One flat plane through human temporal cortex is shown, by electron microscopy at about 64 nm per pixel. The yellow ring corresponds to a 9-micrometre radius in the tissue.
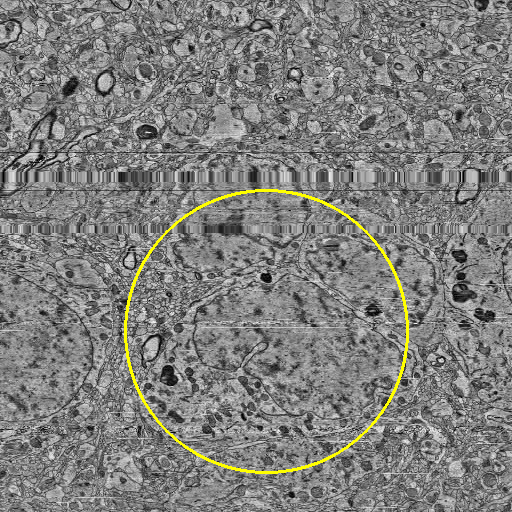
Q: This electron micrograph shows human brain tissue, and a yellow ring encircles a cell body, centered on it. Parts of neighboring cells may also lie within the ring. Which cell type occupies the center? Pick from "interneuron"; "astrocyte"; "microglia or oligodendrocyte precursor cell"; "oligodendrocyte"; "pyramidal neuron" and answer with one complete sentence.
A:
What sits at the ring's center in this micrograph is an interneuron, among those choices.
